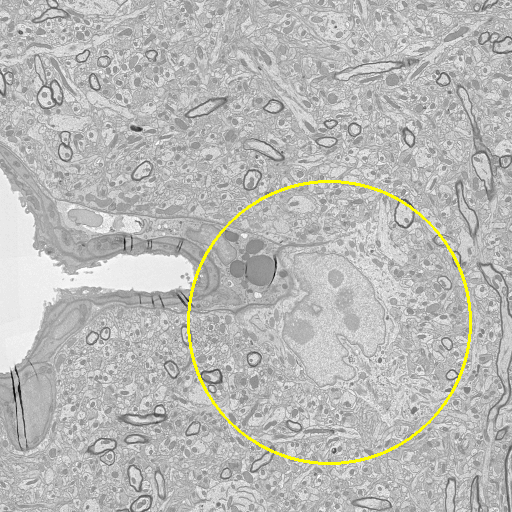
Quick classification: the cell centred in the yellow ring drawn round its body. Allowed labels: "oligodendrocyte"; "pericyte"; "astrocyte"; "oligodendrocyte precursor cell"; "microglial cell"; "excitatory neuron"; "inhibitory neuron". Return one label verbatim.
oligodendrocyte precursor cell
